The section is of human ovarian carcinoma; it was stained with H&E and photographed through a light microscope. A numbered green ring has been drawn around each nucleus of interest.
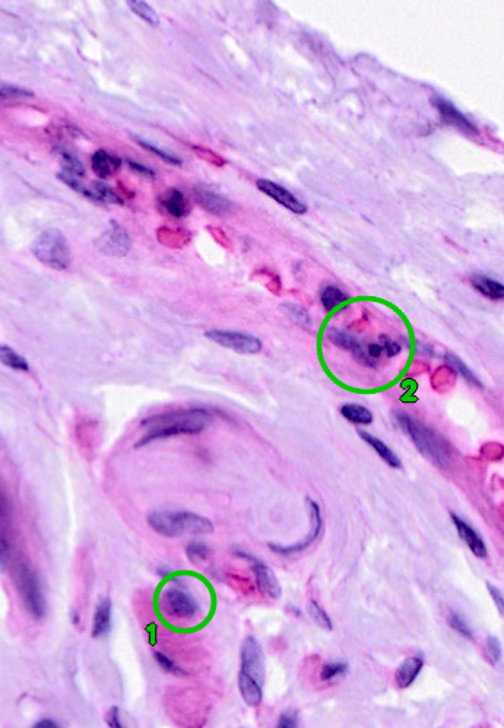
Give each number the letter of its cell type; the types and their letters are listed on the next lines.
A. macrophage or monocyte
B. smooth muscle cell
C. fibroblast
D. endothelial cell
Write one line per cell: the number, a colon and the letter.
1: B
2: D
